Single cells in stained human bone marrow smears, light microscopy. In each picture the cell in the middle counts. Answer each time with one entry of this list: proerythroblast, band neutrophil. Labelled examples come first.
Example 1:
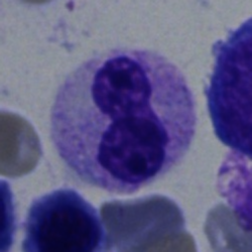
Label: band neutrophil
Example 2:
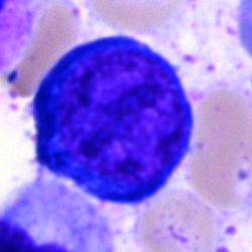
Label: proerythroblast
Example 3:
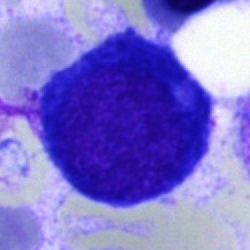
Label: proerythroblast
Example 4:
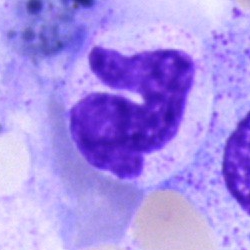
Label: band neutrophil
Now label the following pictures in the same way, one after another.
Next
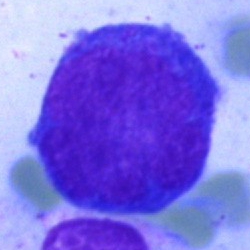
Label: proerythroblast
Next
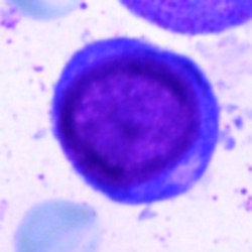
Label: proerythroblast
